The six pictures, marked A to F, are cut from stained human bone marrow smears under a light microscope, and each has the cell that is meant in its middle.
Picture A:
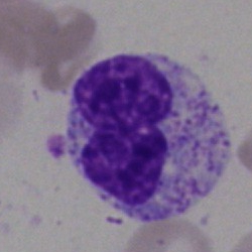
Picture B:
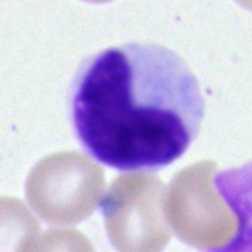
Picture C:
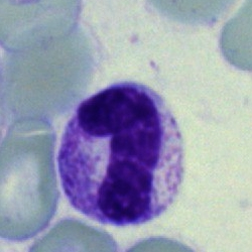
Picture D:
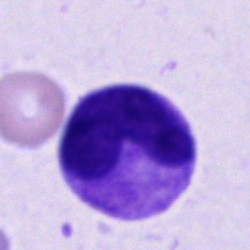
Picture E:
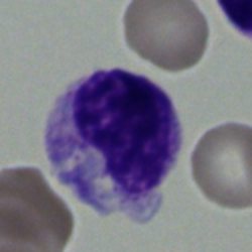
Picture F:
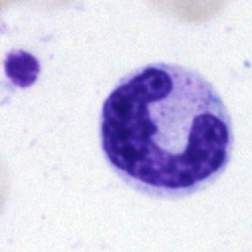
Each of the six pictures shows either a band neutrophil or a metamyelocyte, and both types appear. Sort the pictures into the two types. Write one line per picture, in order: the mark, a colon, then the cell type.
A: metamyelocyte
B: metamyelocyte
C: band neutrophil
D: metamyelocyte
E: metamyelocyte
F: band neutrophil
